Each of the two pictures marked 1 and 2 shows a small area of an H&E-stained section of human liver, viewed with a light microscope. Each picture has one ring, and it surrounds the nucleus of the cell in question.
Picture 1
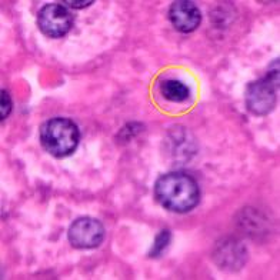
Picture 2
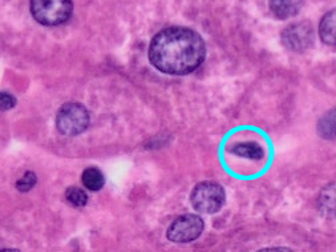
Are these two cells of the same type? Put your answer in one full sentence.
Yes, the two pictures both show lymphocytes.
